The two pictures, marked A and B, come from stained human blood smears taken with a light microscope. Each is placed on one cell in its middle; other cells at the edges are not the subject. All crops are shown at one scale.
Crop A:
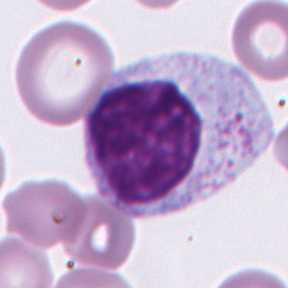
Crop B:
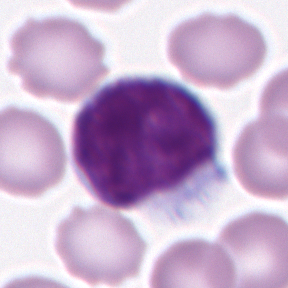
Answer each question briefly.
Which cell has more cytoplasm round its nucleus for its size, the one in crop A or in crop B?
A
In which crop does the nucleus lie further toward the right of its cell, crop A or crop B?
B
